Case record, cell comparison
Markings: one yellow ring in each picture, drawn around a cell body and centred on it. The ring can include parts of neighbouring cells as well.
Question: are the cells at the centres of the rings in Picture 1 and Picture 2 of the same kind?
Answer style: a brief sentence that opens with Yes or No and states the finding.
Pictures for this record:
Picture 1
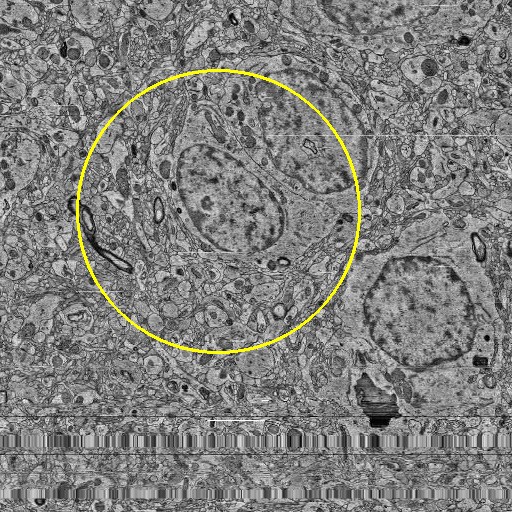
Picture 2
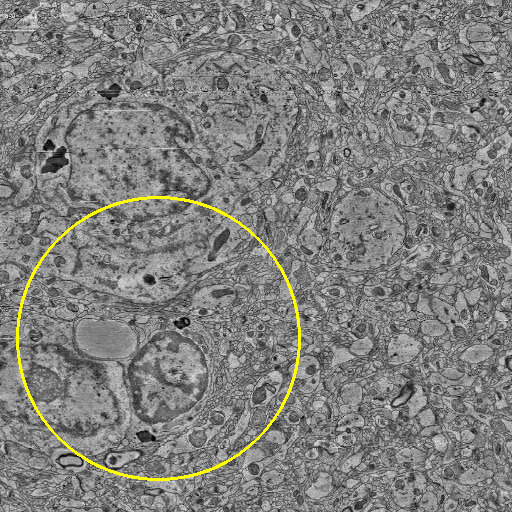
Yes, the cells in Picture 1 and Picture 2 are of the same kind.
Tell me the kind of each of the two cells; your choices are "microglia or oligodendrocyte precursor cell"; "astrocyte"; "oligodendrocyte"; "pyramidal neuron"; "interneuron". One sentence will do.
Both cells are the same kind, each one being a microglial cell or oligodendrocyte precursor cell.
